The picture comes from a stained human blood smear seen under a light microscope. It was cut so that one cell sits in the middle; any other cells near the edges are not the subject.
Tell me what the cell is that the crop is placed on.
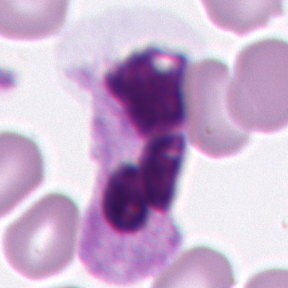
neutrophil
